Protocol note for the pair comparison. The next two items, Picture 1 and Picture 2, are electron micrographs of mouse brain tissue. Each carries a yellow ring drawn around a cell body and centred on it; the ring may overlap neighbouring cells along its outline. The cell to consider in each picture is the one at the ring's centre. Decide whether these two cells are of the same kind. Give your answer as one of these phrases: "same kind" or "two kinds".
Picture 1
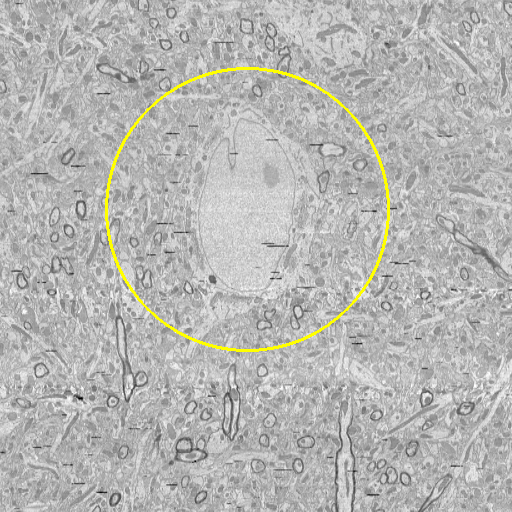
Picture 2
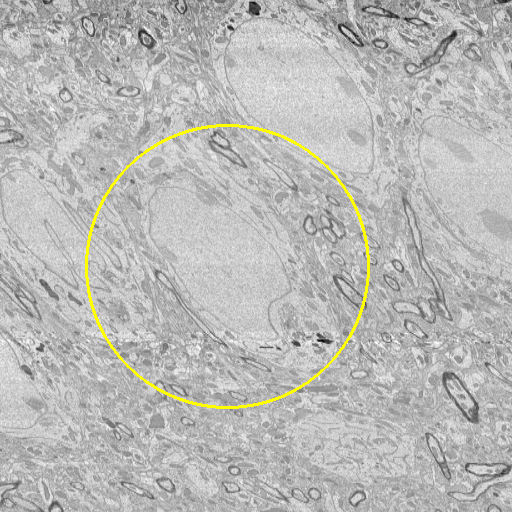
same kind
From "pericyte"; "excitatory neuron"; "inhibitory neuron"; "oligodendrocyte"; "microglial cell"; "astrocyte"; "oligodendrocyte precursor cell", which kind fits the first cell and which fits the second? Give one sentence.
In both pictures the ring is centred on an excitatory neuron.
